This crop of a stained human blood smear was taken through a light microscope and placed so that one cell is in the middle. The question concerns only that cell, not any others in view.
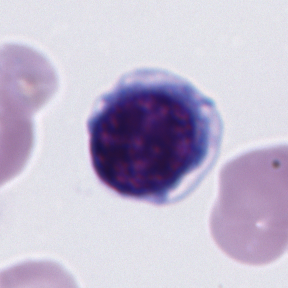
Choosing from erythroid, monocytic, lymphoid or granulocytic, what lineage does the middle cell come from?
erythroid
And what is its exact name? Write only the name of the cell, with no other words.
normoblast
